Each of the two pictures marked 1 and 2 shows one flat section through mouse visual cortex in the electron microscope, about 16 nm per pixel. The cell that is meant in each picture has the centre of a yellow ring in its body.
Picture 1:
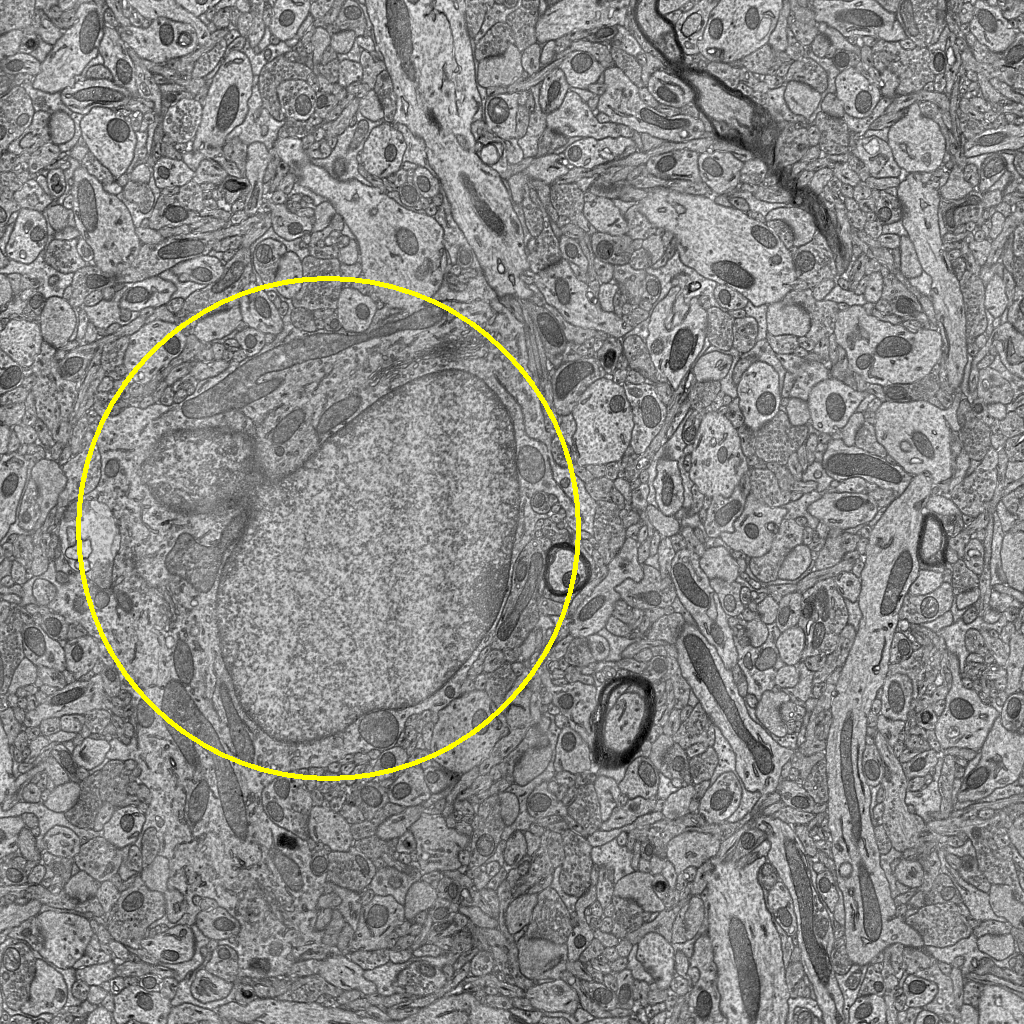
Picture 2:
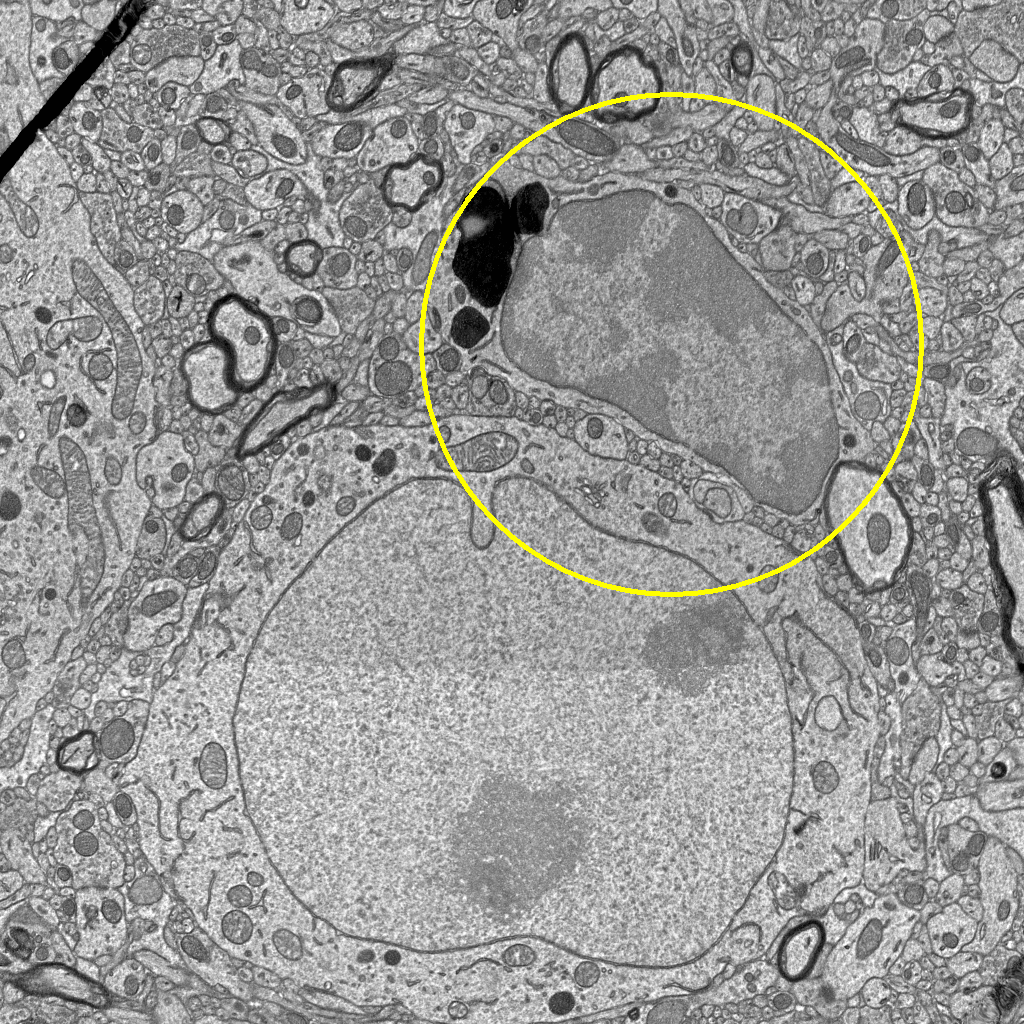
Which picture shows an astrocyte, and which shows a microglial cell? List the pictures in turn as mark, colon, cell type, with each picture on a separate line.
1: astrocyte
2: microglial cell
